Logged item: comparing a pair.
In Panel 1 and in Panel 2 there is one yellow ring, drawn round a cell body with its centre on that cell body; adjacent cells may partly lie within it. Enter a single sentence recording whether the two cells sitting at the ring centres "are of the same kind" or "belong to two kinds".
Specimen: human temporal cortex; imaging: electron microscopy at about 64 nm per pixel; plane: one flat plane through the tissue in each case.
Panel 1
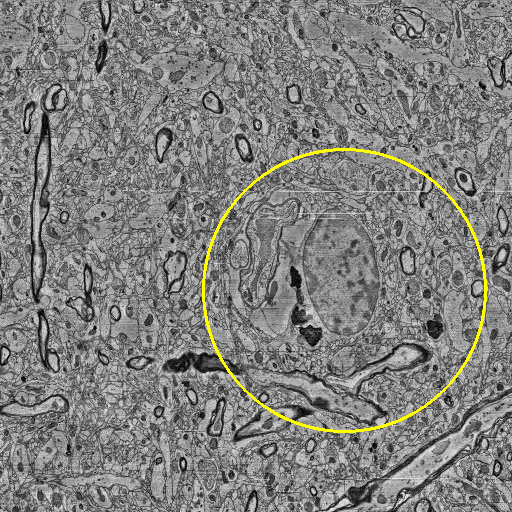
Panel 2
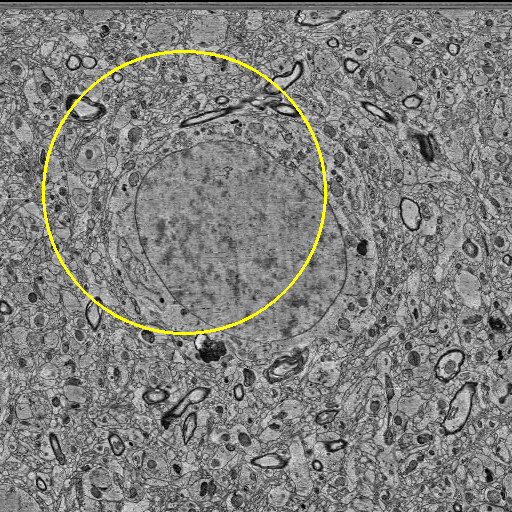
Logged: the cells centred in the rings of Panel 1 and Panel 2 belong to two kinds.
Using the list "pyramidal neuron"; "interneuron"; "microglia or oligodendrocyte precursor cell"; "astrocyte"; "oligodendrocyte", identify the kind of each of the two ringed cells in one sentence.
The first is an oligodendrocyte and the second is a pyramidal neuron.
